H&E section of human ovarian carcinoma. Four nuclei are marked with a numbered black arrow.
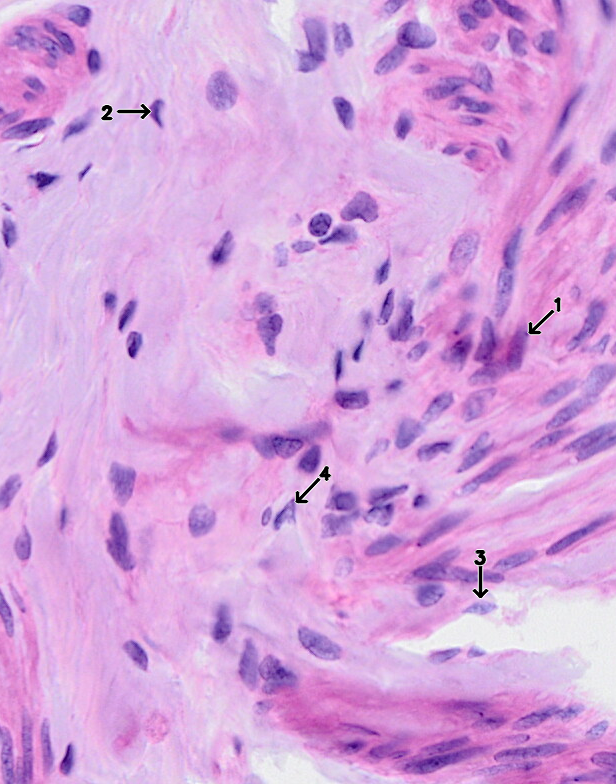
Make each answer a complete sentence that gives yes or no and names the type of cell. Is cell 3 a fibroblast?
No, the right label for cell 3 is a smooth muscle cell rather than a fibroblast.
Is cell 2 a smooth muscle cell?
No, number 2 is not a smooth muscle cell; it is a fibroblast.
